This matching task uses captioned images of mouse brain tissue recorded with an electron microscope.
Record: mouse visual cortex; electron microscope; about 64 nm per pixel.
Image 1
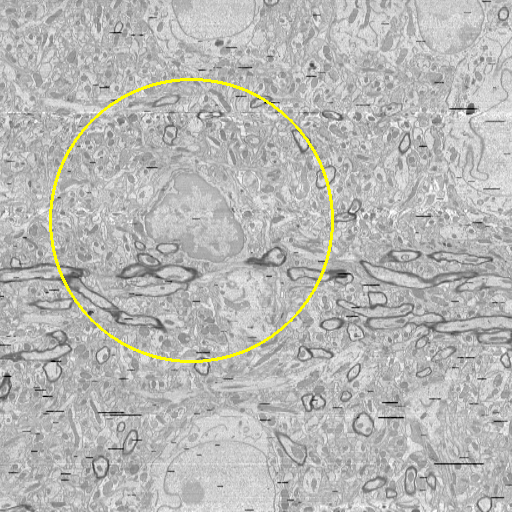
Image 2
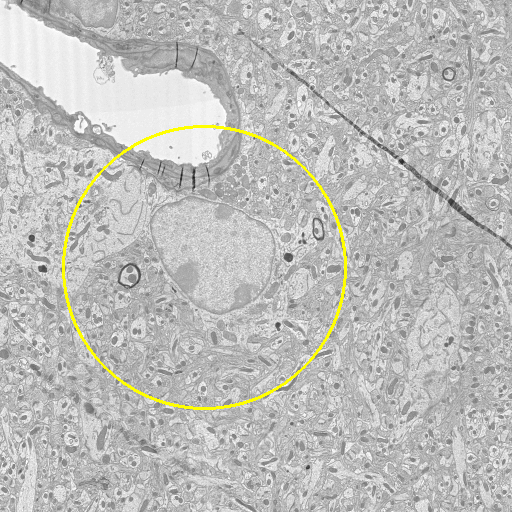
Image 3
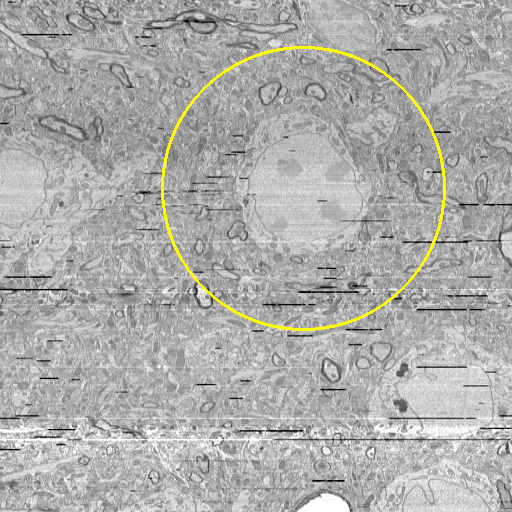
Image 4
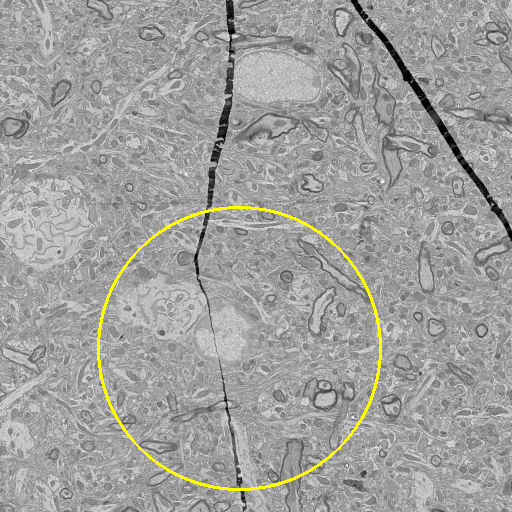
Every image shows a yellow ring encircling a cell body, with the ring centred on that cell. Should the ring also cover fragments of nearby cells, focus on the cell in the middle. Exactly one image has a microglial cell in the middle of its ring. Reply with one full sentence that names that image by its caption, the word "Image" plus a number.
Image 1 shows the cell in question at the centre of its yellow ring.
